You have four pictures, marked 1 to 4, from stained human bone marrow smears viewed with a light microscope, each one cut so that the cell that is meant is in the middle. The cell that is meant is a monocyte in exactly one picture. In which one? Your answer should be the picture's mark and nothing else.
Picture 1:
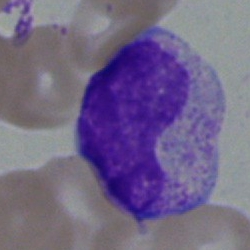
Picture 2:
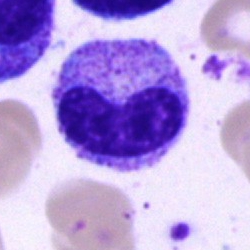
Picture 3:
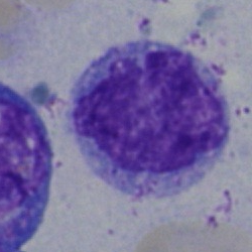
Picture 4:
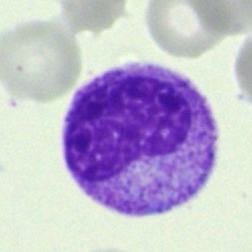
3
